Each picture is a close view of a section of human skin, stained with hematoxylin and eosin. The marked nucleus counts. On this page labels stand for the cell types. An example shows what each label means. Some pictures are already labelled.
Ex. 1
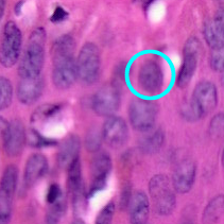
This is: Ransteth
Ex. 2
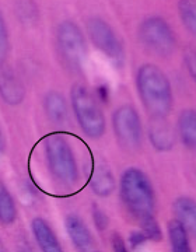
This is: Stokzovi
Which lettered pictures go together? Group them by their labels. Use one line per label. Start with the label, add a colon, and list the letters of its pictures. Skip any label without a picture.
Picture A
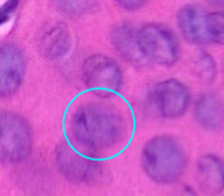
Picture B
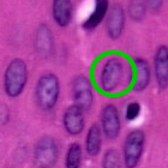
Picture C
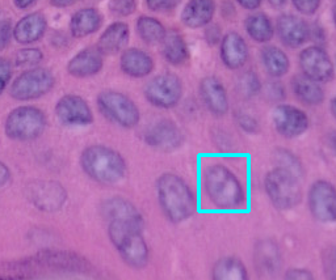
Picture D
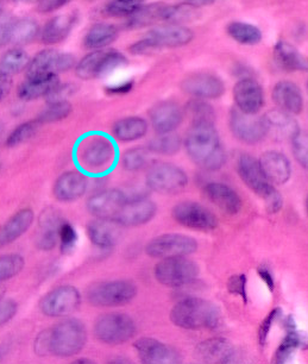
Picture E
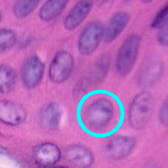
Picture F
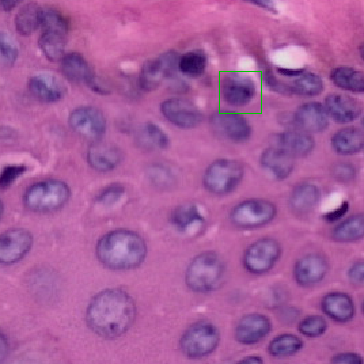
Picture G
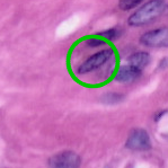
Ransteth: D, F, G
Stokzovi: A, B, C, E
